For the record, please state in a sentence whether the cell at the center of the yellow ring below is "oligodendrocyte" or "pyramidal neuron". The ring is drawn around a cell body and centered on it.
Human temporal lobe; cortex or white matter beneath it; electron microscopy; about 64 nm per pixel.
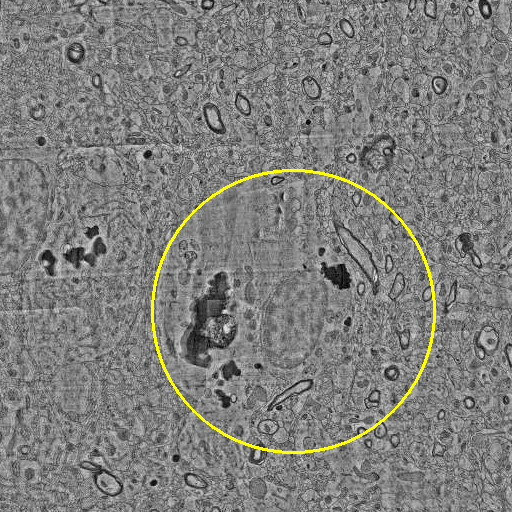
The cell at the ring's center is an oligodendrocyte.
